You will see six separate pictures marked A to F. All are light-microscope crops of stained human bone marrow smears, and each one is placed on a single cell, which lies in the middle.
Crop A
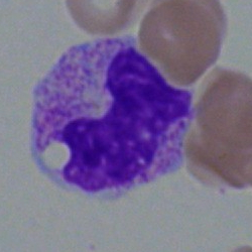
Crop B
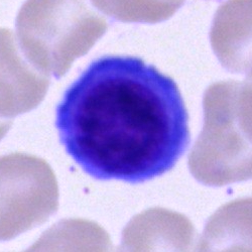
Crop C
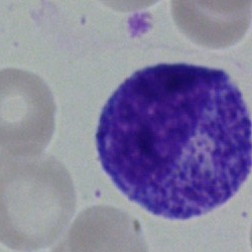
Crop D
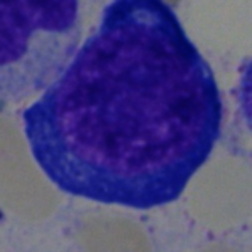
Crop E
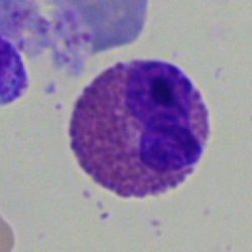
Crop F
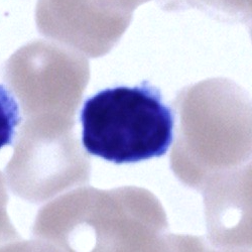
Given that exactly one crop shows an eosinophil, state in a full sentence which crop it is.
Crop E is the one in the set with an eosinophil at the center.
